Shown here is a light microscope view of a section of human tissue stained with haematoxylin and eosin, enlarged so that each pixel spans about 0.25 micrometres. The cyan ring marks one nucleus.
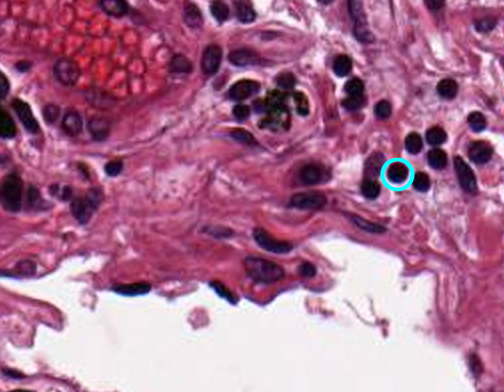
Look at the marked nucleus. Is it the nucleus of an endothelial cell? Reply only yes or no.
no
